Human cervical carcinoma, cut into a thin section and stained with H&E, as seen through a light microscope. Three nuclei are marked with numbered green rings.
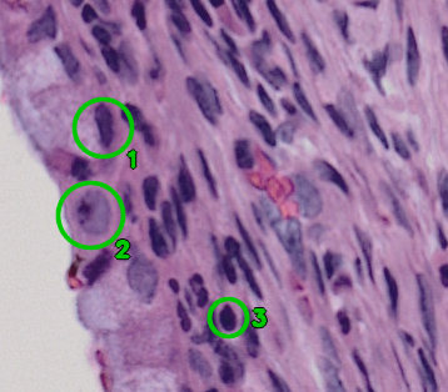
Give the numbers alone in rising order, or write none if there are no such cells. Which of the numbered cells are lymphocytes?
3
